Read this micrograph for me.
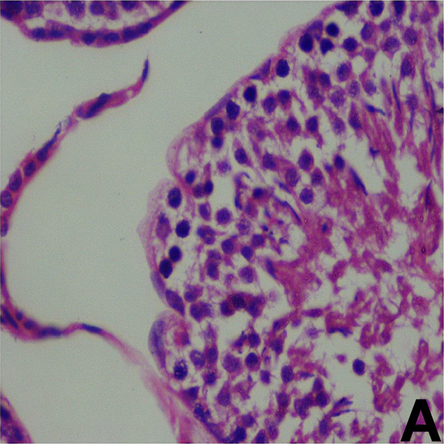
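This is part of a seminiferous tubule of the testis, cut across, with its thin wall of flattened cells at the left edge and neighbouring tubules beyond. Inside the wall the germinal epithelium is built of several layers of cells with round, purple nuclei, packed closely together. Toward the middle of the tubule the cells become more elongated and are mingled with pink, fibrillar cytoplasm and strands.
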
